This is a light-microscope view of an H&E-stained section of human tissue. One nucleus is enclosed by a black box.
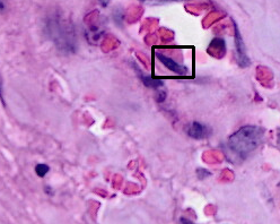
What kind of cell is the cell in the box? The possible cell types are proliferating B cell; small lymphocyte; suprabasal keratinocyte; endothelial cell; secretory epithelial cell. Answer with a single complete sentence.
Labelled by cell type, the cell in the box is an endothelial cell.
